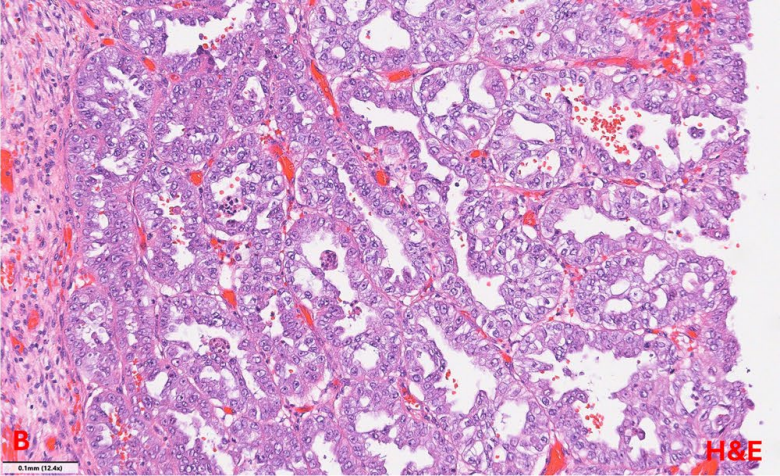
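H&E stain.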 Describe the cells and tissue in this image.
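This is a carcinoma built of crowded tubules, small cystic spaces and papillary fronds, all lined by cuboidal epithelial cells, some of which bulge into the lumens with a hobnail profile. The cytoplasm of these cells ranges from clear to pale pink. Thin cores with red blood cells run between the glands, and at the left edge lies a band of spindle-cell stroma.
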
